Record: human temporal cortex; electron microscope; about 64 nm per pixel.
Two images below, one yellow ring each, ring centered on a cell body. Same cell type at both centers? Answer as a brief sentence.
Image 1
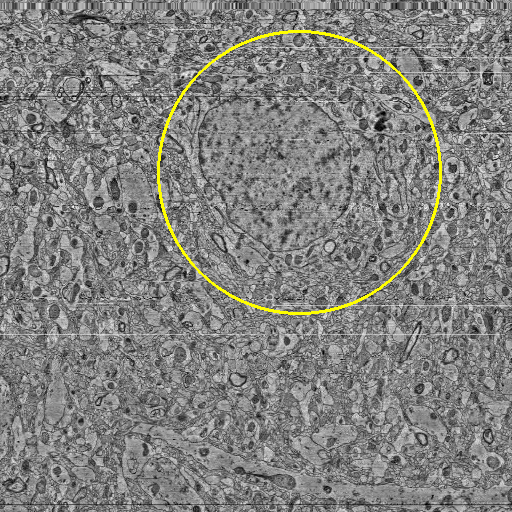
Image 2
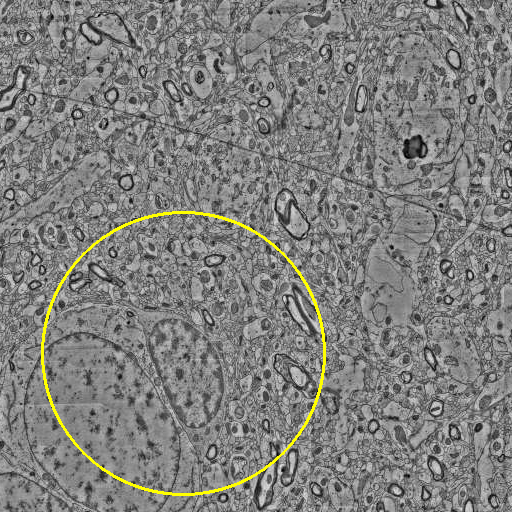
No, the cells are of two separate types.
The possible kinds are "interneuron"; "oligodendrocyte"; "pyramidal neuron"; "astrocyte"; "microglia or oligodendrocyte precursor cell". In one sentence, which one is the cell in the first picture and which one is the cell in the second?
The cell ringed in the second picture is an oligodendrocyte, whereas the one ringed in the first is an interneuron.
